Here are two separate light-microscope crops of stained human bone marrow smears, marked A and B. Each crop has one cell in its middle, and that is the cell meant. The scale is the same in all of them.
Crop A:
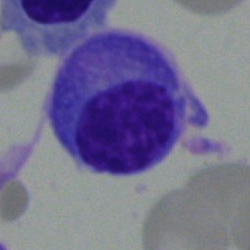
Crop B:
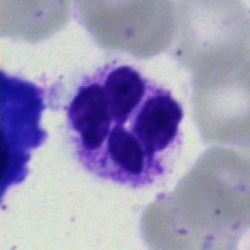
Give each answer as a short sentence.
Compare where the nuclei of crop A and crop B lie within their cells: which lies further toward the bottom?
In crop A the nucleus is shifted more toward the bottom.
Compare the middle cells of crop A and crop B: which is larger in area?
The cell in crop A is larger, with about 1.5 times the area of the one in crop B.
